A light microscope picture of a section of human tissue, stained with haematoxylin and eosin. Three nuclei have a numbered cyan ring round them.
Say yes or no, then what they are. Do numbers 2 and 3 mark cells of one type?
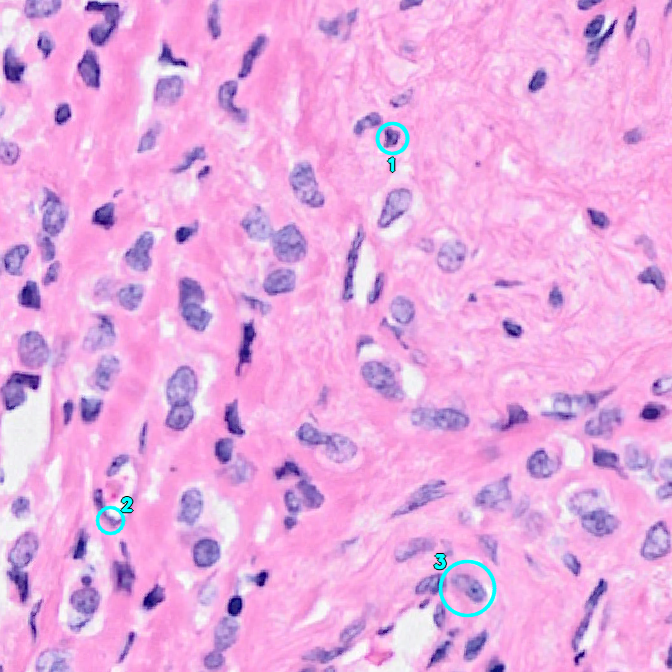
Yes, cells 2 and 3 both count as endothelial cells.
